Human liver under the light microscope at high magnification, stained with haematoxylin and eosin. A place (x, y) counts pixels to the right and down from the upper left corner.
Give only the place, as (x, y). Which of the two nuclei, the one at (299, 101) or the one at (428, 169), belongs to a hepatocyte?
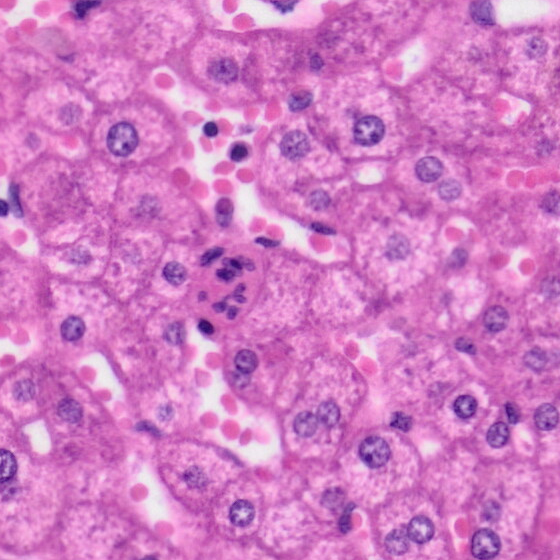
(428, 169)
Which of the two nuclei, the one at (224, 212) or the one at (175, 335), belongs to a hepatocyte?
(175, 335)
